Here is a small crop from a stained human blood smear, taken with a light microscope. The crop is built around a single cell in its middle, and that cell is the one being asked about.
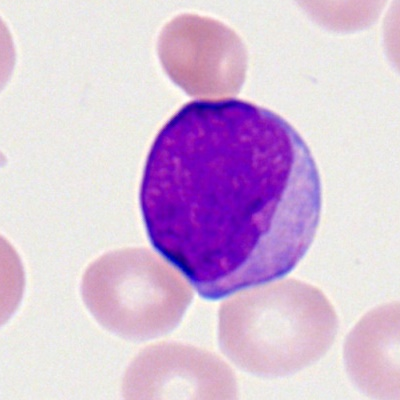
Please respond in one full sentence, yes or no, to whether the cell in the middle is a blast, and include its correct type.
Yes, the cell at the very centre of the crop is a blast.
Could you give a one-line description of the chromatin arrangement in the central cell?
The chromatin shows a fine pattern without coarse clumps.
